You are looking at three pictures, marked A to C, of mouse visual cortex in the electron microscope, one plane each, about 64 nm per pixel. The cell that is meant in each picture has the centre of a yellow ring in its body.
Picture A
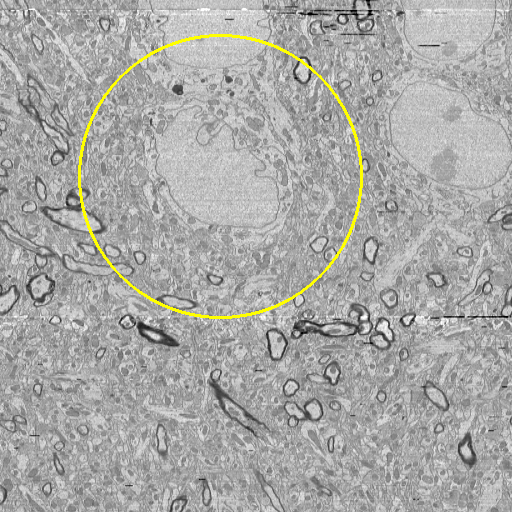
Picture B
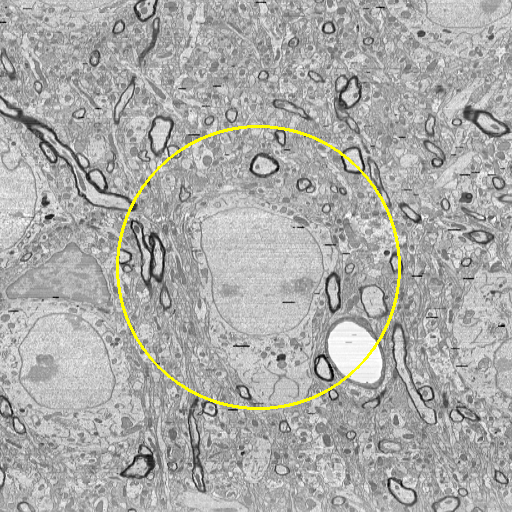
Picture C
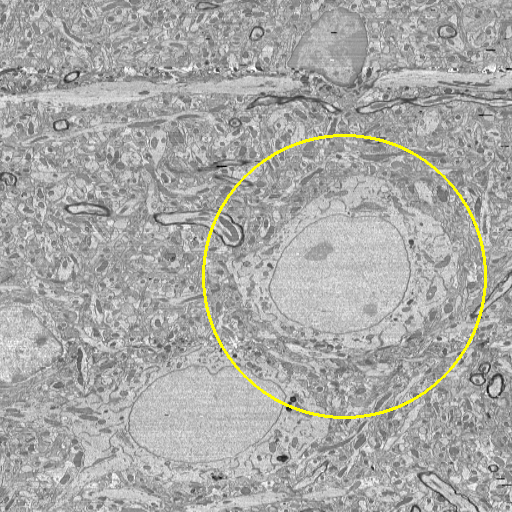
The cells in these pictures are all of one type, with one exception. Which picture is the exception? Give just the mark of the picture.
A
